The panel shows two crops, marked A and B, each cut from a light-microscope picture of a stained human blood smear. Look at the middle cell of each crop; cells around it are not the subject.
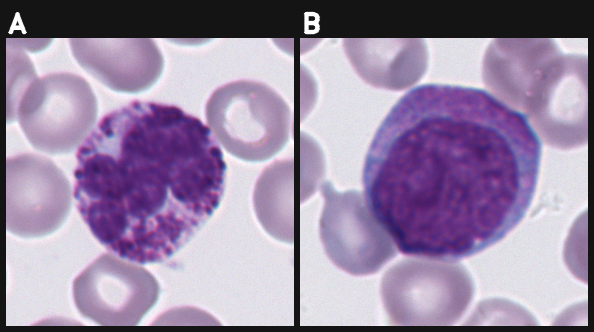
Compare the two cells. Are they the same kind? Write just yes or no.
no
